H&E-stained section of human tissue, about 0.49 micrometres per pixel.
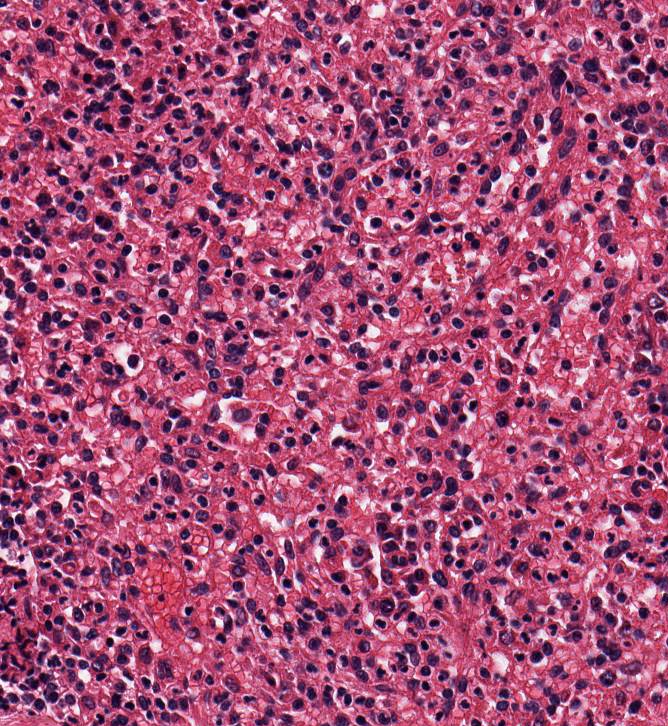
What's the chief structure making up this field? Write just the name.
red pulp of the spleen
